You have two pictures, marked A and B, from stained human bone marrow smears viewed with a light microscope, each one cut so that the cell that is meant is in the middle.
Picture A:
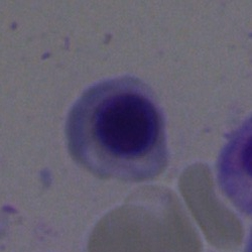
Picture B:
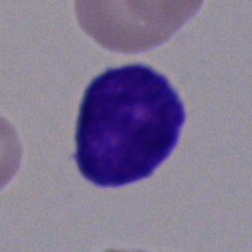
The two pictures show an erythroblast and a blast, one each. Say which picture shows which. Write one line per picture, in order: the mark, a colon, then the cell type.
A: erythroblast
B: blast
